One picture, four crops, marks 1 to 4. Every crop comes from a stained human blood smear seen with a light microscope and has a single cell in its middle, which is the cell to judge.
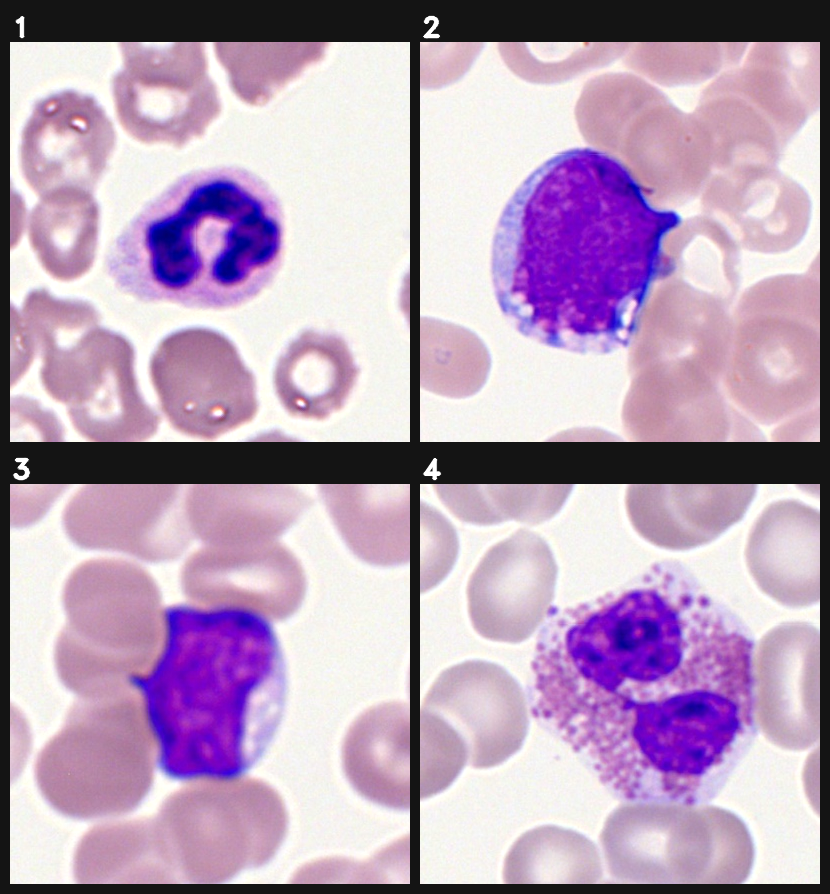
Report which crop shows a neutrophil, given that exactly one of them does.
1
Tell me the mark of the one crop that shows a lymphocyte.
3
